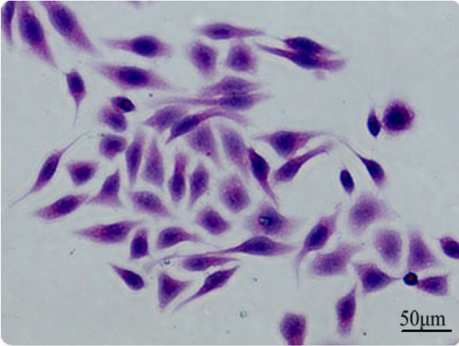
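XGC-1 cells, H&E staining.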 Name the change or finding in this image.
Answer: large nuclei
